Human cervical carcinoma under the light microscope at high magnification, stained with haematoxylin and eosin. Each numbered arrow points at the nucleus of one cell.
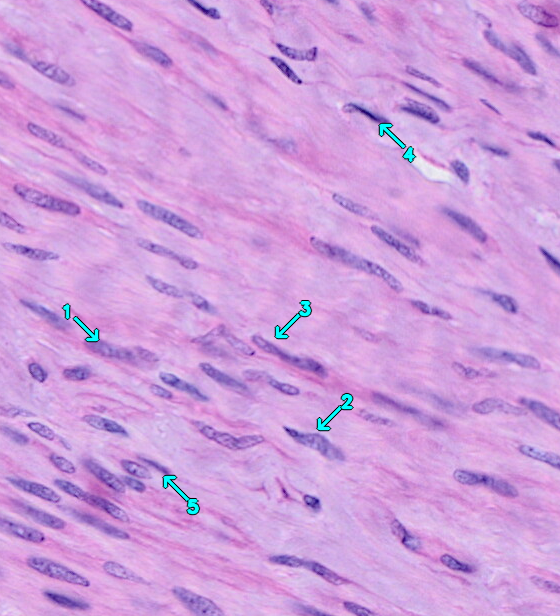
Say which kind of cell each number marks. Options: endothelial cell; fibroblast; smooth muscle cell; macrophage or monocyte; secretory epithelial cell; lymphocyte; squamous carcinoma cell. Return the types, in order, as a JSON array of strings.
["smooth muscle cell", "fibroblast", "smooth muscle cell", "fibroblast", "smooth muscle cell"]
